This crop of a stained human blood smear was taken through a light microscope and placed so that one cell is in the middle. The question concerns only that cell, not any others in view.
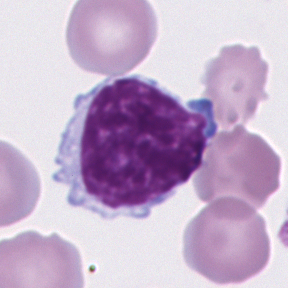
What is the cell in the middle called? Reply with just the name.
lymphocyte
